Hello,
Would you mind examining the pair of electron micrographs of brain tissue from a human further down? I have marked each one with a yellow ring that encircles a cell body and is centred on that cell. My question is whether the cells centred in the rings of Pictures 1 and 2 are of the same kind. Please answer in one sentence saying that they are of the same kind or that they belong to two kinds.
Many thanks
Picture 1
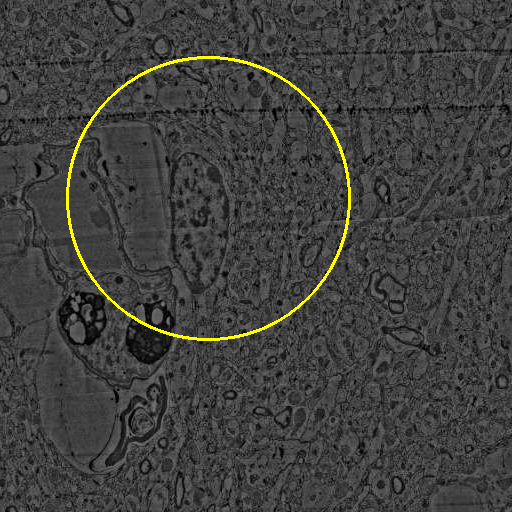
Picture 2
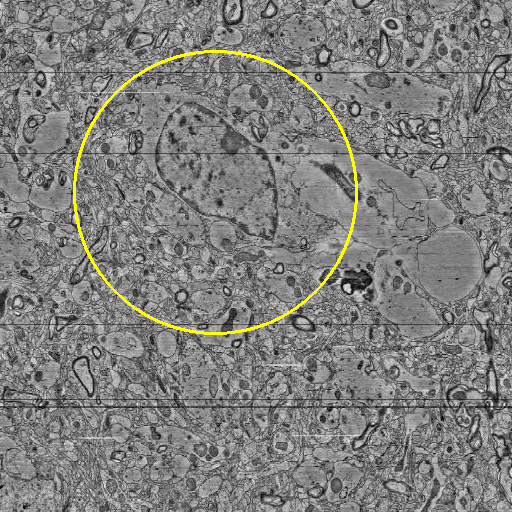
In Pictures 1 and 2, the cells at the heart of the rings are of the same kind.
